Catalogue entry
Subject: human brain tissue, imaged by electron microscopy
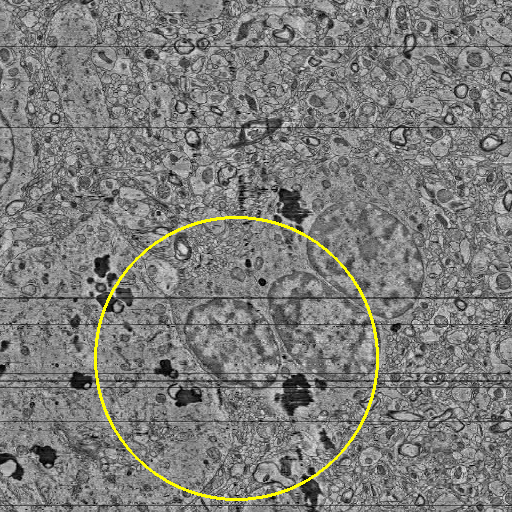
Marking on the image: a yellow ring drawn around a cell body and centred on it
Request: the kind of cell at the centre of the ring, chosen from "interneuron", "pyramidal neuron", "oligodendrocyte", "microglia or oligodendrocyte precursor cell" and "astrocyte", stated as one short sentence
The ring has an oligodendrocyte at its centre.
